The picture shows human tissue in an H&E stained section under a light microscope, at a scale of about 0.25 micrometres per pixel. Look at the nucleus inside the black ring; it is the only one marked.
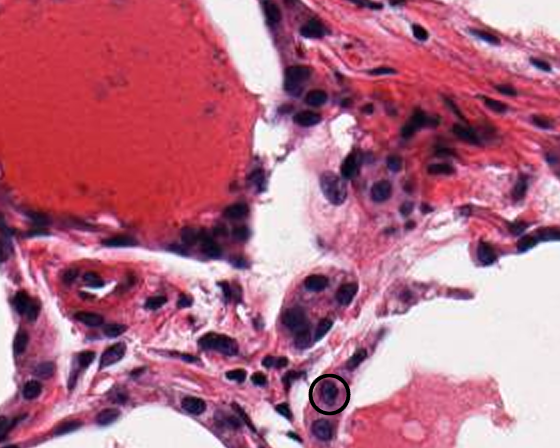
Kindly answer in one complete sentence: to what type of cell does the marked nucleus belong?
Indicated by the mark is a nucleus that belongs to a thyroid follicular cell.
